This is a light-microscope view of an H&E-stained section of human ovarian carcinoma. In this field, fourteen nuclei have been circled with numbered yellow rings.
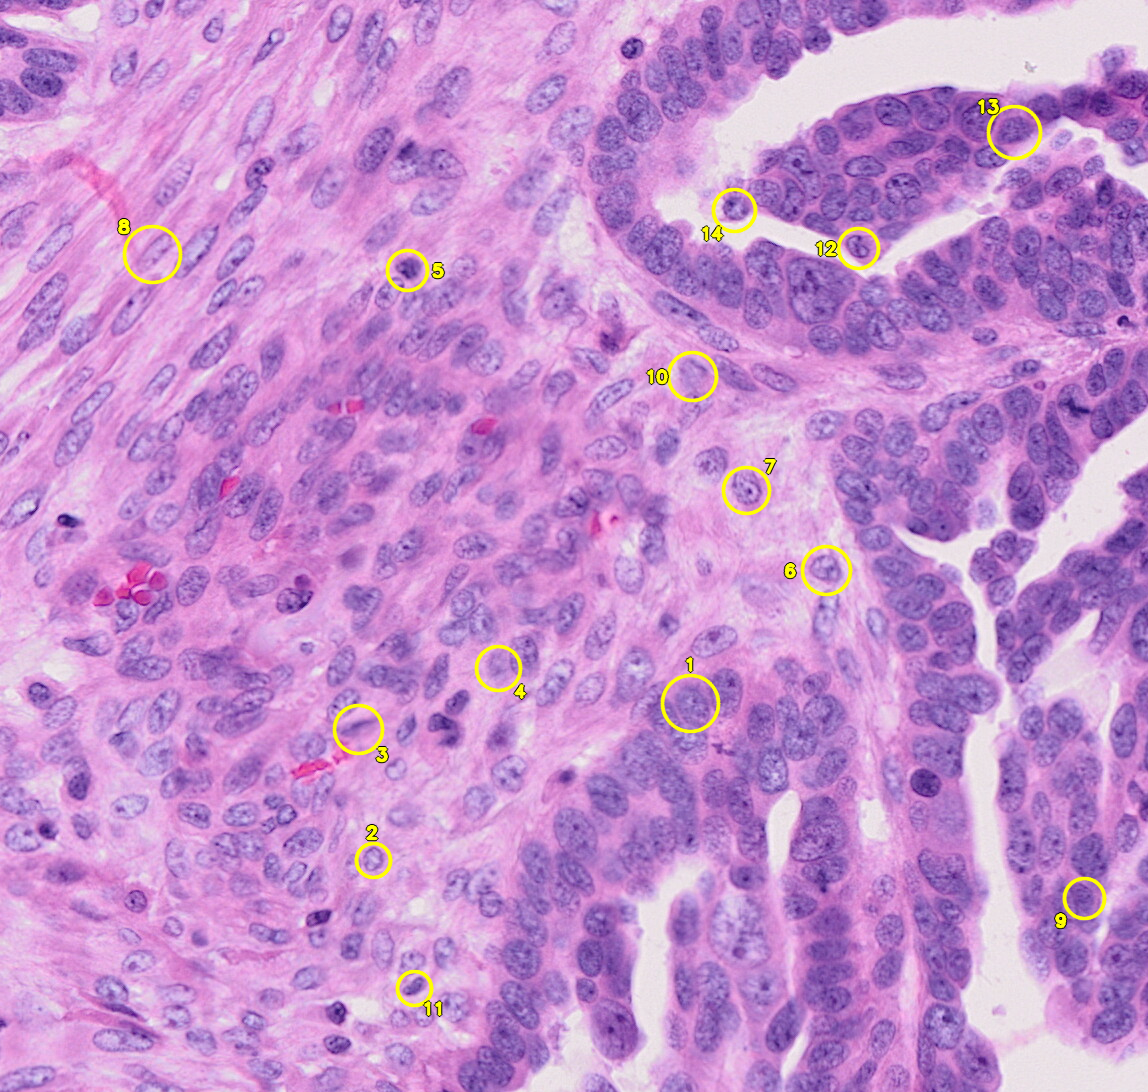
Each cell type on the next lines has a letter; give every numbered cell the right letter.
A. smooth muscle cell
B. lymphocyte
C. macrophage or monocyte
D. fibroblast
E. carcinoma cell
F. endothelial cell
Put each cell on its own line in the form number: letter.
1: E
2: D
3: F
4: D
5: B
6: D
7: D
8: D
9: E
10: D
11: B
12: C
13: E
14: C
